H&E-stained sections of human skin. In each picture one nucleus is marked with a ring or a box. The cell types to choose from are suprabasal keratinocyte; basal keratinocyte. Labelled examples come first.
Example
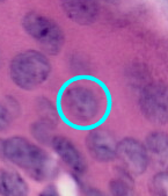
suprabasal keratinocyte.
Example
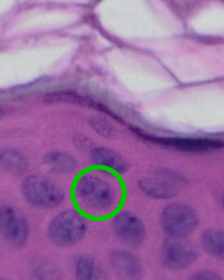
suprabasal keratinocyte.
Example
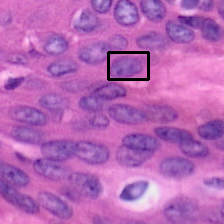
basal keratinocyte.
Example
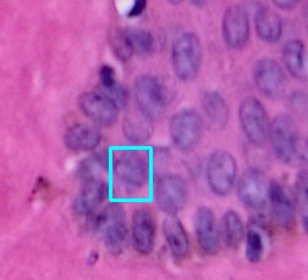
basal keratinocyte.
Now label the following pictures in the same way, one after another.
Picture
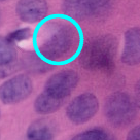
suprabasal keratinocyte.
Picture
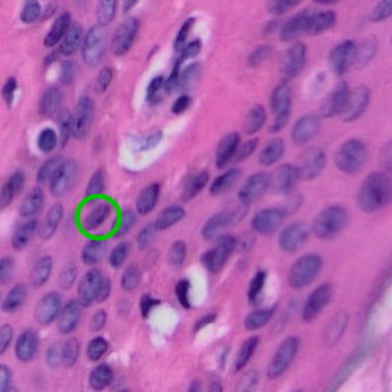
basal keratinocyte.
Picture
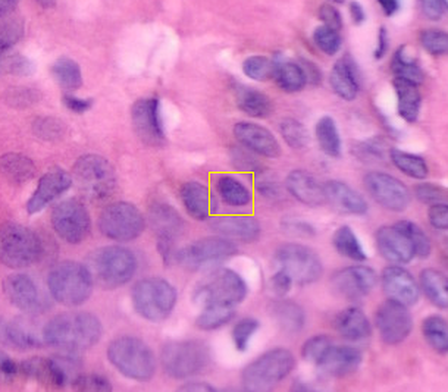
basal keratinocyte.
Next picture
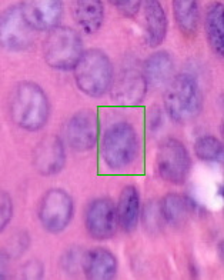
suprabasal keratinocyte.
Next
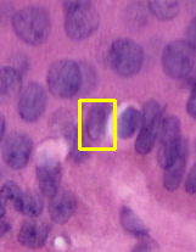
basal keratinocyte.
